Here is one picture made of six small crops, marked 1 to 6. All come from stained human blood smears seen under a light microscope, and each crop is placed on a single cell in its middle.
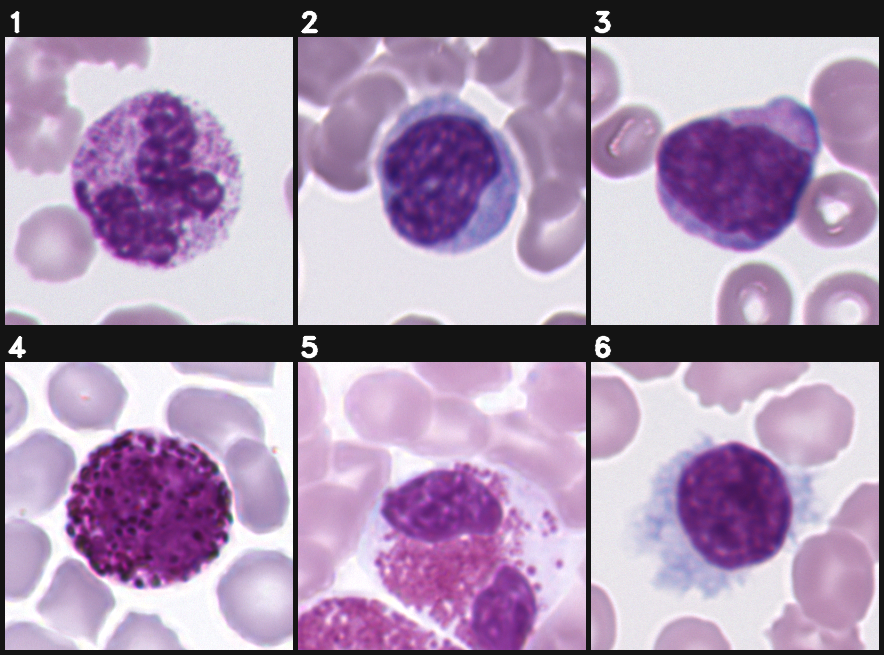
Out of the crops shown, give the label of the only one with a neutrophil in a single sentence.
It is crop 1 that shows a neutrophil.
